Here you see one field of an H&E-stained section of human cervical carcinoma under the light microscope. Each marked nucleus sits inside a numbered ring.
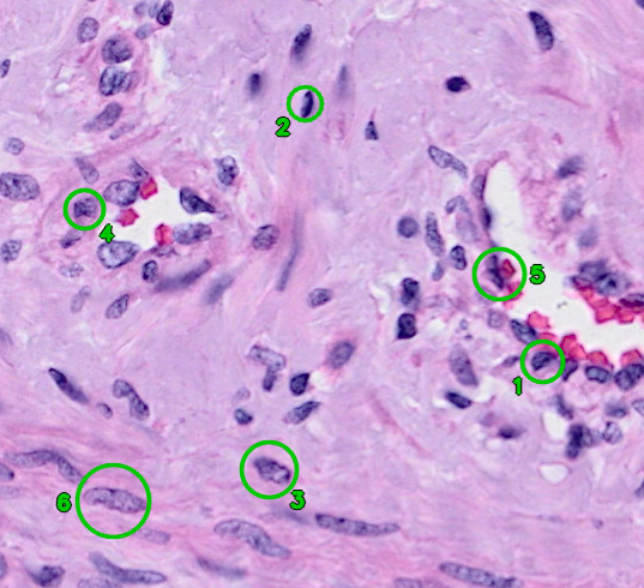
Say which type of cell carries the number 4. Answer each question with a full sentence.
Cell 4 should be recorded as an endothelial cell.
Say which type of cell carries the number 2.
The cell numbered 2 represents a fibroblast.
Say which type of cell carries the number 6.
Identified by the number 6, the cell is a smooth muscle cell.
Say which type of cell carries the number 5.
The nucleus labelled 5 belongs to an endothelial cell.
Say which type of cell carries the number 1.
Heads up, the cell numbered 1 is an endothelial cell.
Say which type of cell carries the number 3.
The correct answer for cell 3 is a smooth muscle cell.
